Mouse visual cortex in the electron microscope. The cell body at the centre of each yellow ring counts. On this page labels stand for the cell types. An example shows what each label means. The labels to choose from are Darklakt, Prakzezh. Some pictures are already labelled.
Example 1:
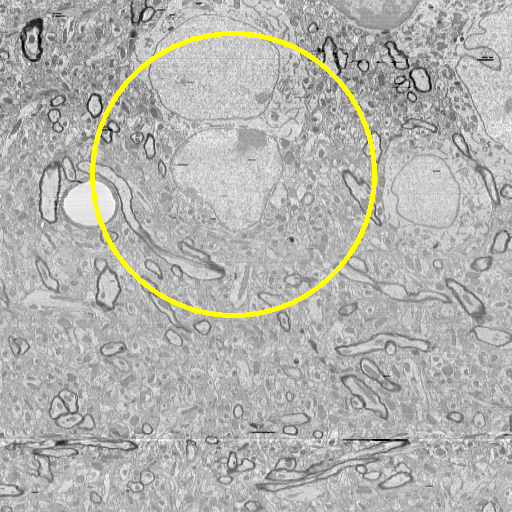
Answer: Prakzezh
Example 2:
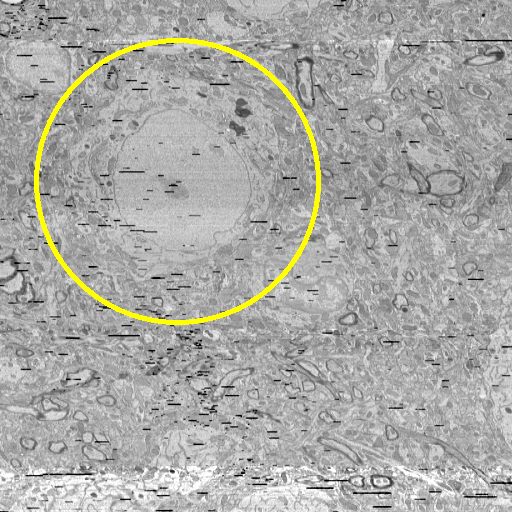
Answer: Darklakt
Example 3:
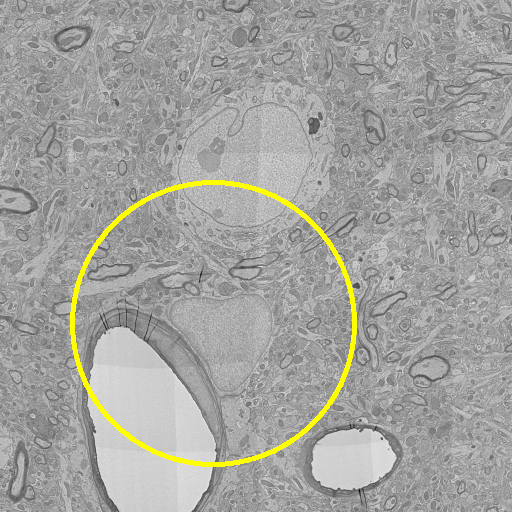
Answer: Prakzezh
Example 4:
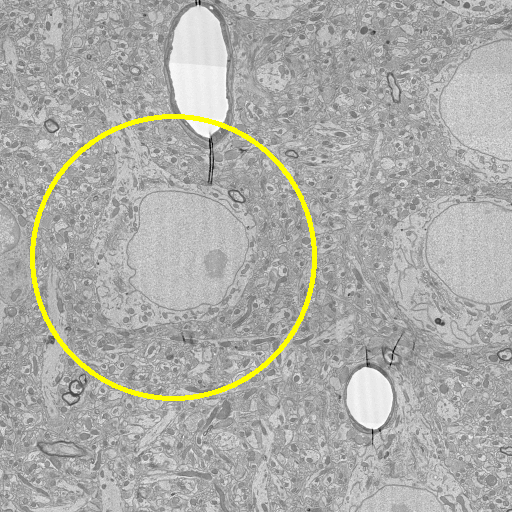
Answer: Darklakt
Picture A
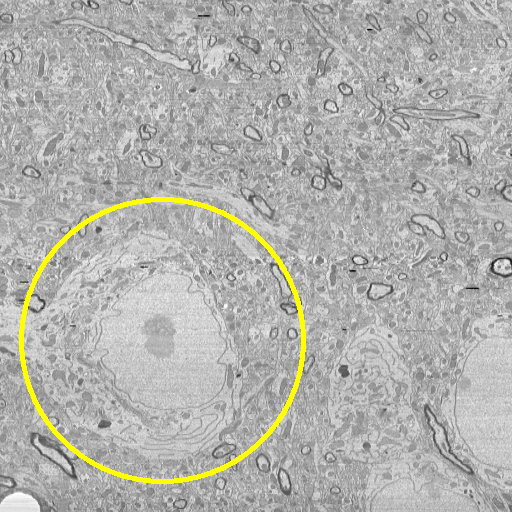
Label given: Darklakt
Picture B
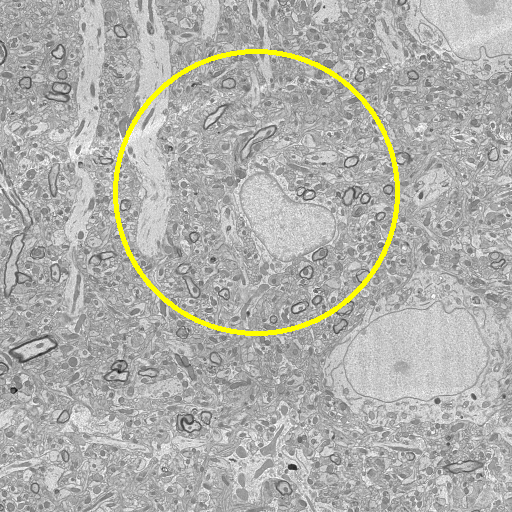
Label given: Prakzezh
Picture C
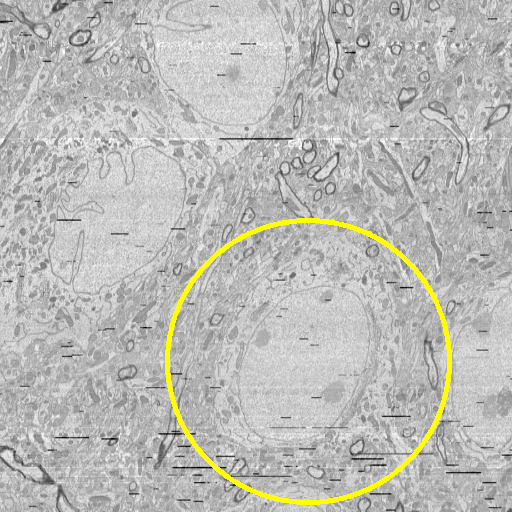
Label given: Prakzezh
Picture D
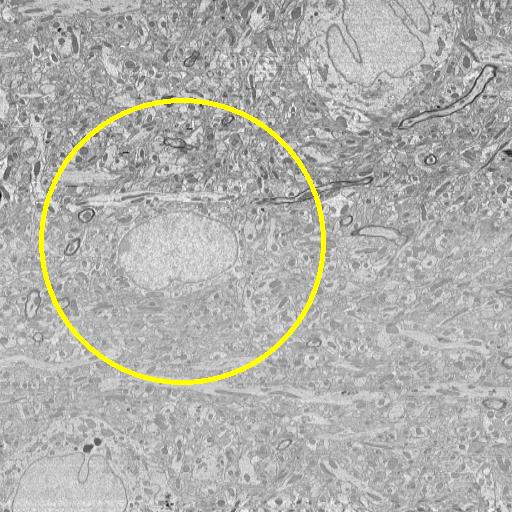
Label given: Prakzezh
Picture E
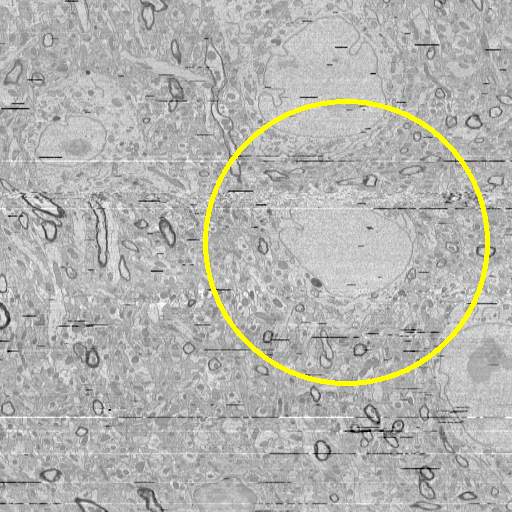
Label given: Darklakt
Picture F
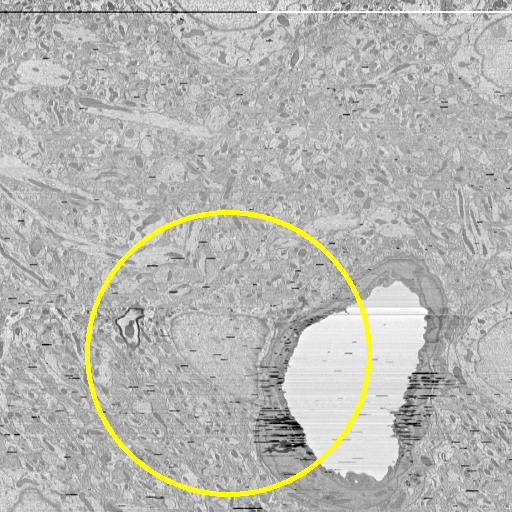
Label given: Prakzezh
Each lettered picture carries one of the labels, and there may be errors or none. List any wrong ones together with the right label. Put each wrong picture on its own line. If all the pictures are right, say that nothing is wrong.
C should be Darklakt, not Prakzezh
